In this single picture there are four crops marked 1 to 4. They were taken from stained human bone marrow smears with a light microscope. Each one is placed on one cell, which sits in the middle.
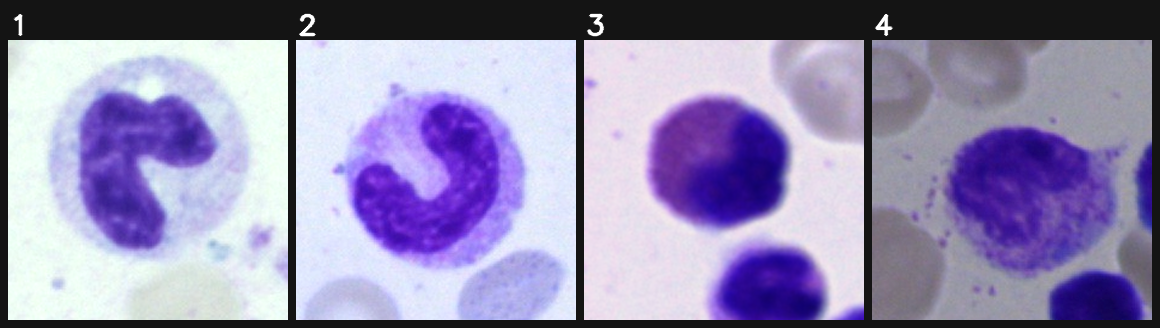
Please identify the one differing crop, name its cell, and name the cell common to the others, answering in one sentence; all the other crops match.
Shown in crop 3 is an eosinophil, in contrast to the band neutrophils of all the other crops.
